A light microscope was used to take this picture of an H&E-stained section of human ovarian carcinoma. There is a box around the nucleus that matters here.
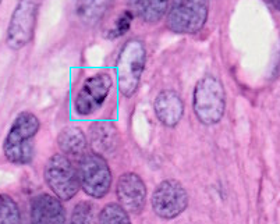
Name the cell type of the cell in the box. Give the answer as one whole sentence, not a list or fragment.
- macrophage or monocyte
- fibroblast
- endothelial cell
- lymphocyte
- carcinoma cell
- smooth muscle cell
In the stained section, the cell in the box is a macrophage or monocyte.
